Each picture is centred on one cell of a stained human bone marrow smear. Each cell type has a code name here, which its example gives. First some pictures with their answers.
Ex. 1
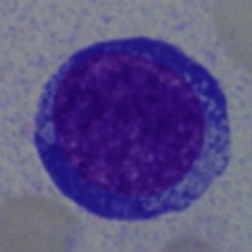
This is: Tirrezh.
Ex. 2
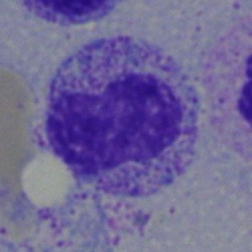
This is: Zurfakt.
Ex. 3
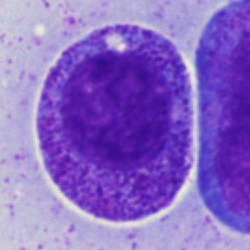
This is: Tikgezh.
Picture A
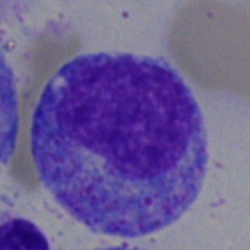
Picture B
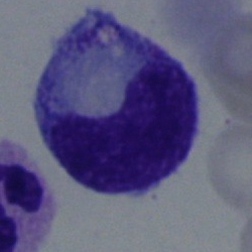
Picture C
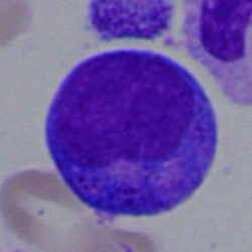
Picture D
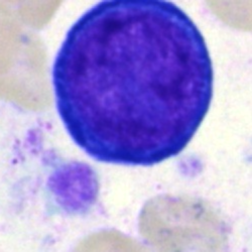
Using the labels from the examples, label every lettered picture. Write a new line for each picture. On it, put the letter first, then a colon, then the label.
A: Tikgezh.
B: Zurfakt.
C: Tikgezh.
D: Tirrezh.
